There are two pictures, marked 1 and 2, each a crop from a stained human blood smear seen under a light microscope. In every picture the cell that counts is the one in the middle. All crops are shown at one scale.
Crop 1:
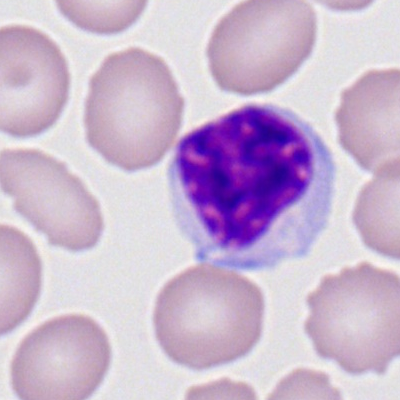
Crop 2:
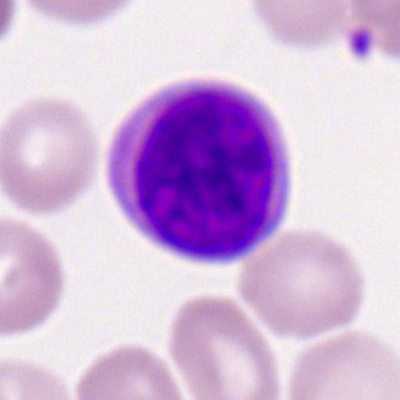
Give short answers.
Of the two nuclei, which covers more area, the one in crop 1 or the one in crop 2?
2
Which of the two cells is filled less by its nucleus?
1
